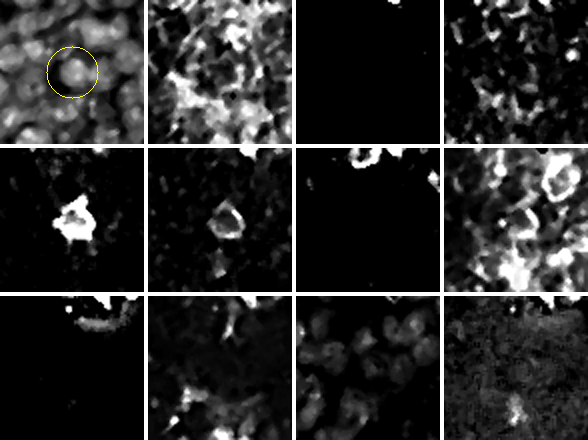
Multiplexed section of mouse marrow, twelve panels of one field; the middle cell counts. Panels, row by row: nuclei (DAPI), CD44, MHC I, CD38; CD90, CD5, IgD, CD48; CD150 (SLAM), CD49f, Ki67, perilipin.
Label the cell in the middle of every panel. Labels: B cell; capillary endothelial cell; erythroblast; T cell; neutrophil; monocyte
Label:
T cell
